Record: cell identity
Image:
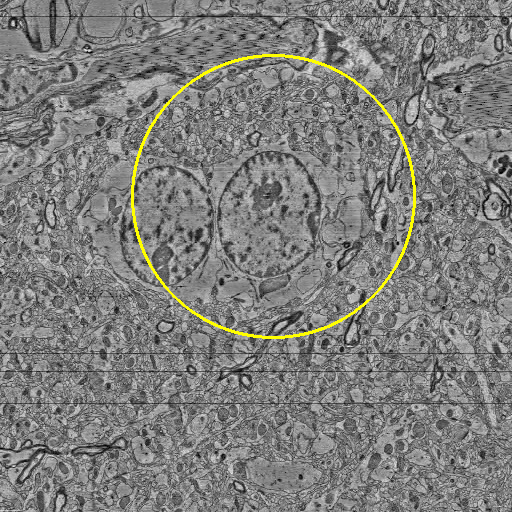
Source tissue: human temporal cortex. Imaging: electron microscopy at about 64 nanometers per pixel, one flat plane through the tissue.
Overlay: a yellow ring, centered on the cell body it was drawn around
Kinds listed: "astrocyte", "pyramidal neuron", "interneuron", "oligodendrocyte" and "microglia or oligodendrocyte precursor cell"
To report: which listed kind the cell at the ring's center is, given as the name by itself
astrocyte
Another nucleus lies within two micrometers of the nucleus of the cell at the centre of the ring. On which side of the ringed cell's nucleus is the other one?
That other nucleus is to the left of it.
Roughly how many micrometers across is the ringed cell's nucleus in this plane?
In this plane the nucleus measures roughly 8 by 7 micrometres.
